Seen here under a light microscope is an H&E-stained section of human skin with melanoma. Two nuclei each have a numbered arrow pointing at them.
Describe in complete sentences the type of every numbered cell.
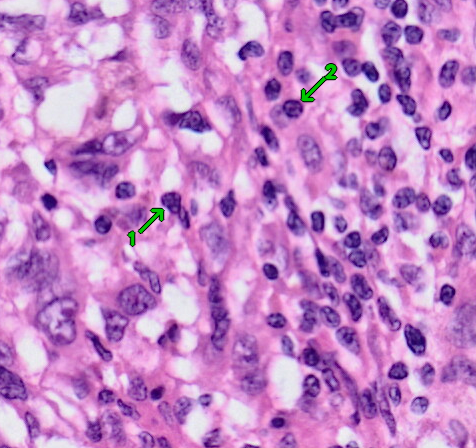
Cell 1 is a lymphocyte. Cell 2 is a plasma cell.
